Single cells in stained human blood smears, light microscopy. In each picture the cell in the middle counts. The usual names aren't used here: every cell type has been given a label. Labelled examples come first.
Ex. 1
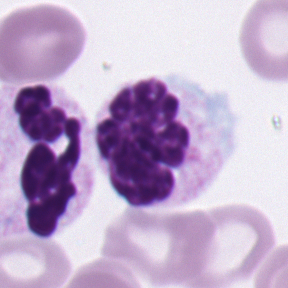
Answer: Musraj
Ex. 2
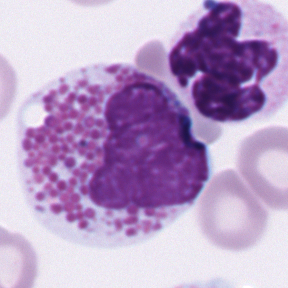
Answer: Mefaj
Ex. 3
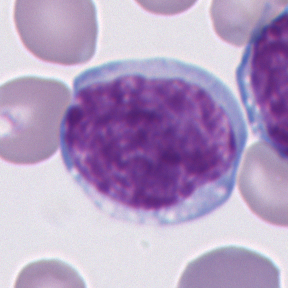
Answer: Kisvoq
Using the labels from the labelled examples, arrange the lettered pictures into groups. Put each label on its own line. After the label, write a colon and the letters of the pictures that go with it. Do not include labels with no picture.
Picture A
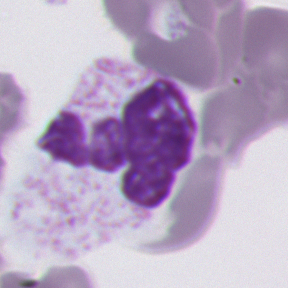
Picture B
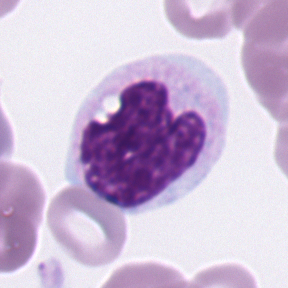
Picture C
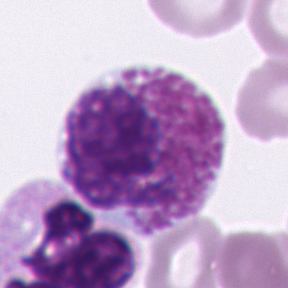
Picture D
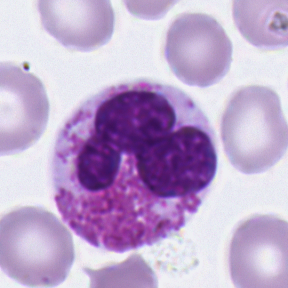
Musraj: A, B
Mefaj: C, D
